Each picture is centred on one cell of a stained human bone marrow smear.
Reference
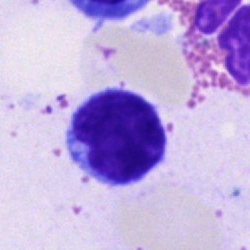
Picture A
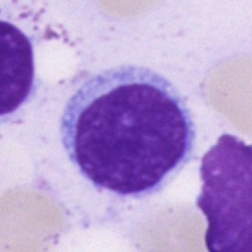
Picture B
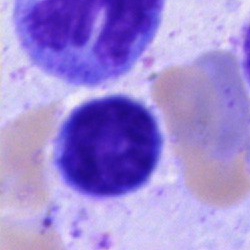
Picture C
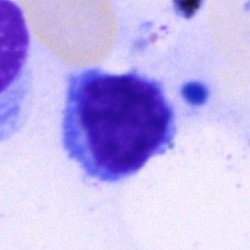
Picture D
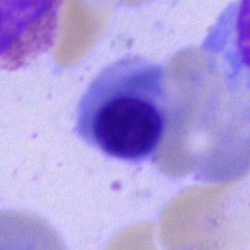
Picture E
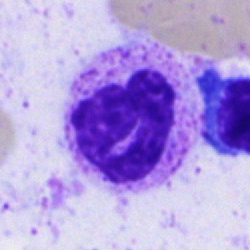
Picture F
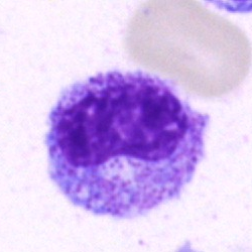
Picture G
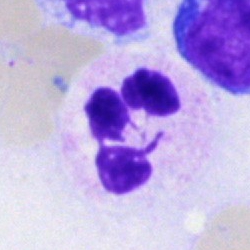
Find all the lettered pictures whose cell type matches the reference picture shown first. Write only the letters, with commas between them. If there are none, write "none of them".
A, B, C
